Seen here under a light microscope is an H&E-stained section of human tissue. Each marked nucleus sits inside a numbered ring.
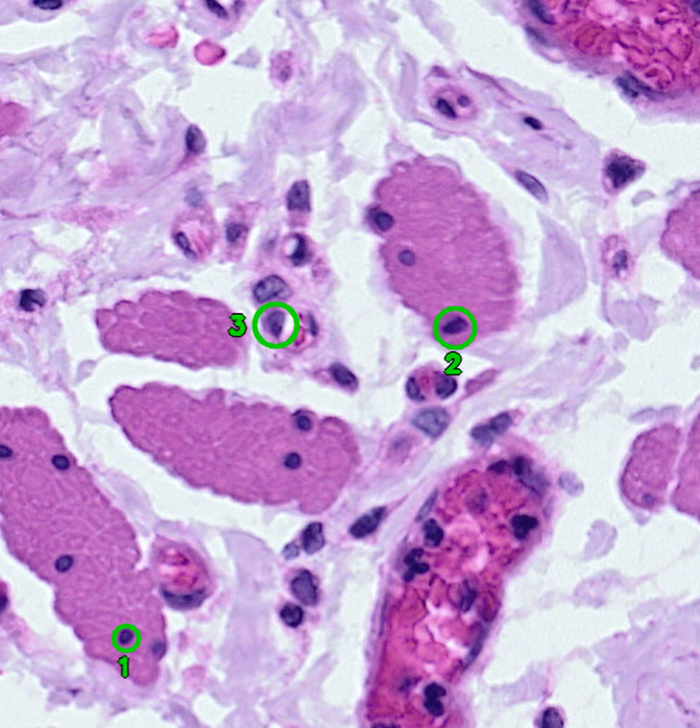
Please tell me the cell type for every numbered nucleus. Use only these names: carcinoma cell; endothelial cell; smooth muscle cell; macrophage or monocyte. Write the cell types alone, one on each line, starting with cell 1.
smooth muscle cell
smooth muscle cell
endothelial cell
